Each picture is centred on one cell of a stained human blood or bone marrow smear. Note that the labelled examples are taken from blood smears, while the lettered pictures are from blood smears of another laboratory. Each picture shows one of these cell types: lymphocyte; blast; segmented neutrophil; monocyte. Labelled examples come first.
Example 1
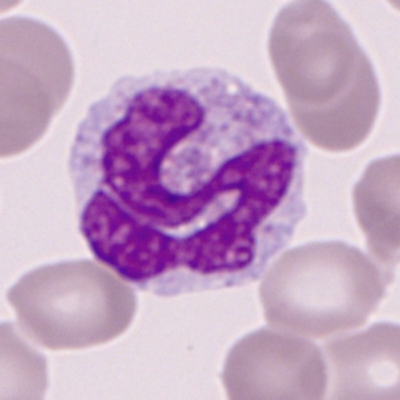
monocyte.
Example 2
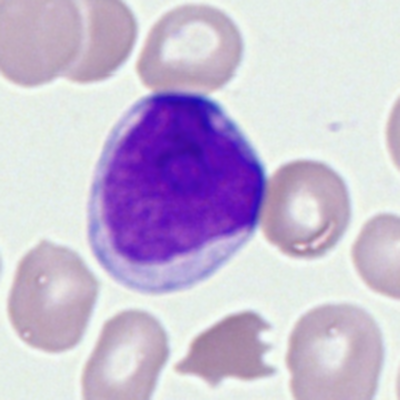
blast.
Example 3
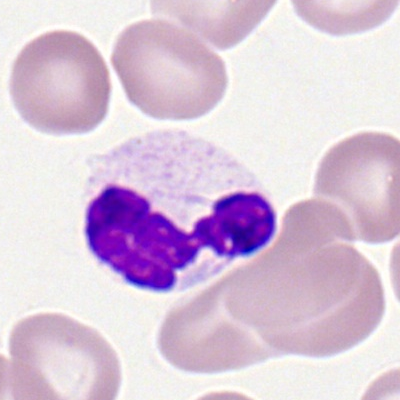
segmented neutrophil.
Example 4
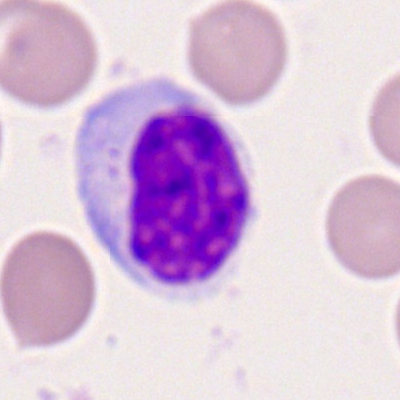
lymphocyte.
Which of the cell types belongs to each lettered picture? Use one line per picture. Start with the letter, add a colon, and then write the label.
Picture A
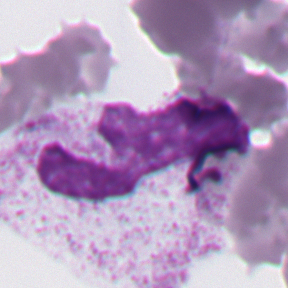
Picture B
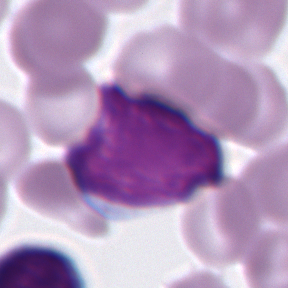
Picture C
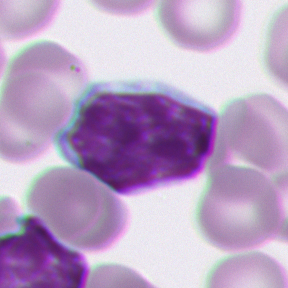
A: segmented neutrophil.
B: lymphocyte.
C: lymphocyte.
